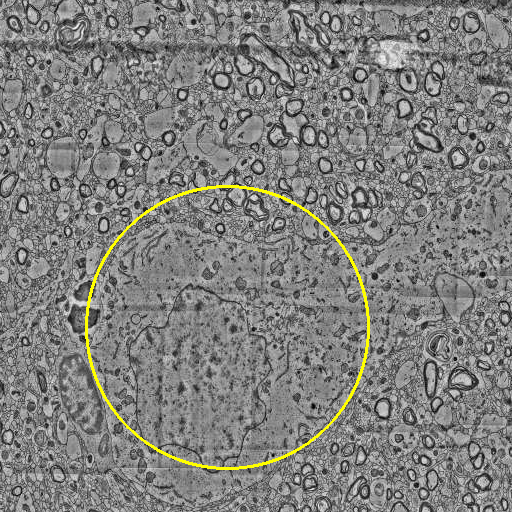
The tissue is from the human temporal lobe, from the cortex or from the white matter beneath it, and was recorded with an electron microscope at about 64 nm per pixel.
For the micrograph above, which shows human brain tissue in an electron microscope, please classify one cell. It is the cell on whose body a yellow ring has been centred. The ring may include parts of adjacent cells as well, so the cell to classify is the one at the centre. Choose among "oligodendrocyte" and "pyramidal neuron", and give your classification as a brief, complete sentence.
I classify this cell as a pyramidal neuron.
